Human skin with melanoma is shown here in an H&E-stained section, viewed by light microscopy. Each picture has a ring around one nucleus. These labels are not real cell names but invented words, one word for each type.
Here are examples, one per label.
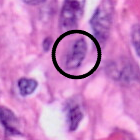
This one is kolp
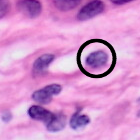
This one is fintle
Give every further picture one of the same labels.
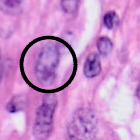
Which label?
kolp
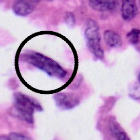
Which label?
kolp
